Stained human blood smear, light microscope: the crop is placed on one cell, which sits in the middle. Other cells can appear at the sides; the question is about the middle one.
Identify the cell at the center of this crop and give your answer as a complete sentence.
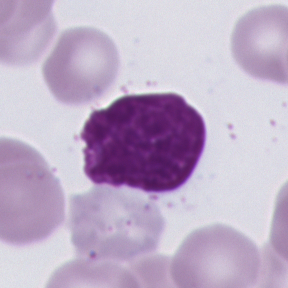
For this crop, the central cell is a smudge cell.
